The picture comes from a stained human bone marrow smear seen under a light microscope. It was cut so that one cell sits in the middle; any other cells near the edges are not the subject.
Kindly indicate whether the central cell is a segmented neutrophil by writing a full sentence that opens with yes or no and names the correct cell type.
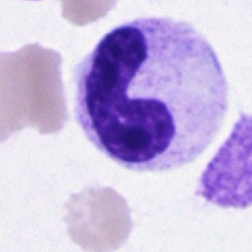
No, wrong label: the middle cell is a band neutrophil instead of a segmented neutrophil.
